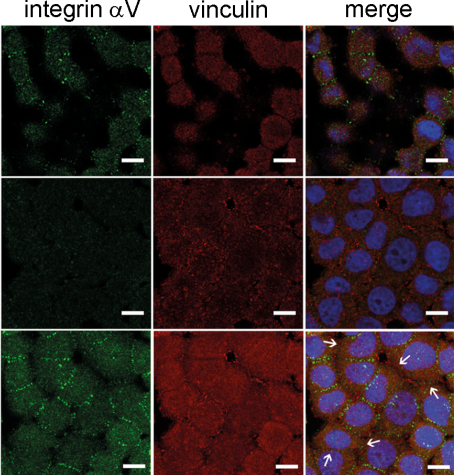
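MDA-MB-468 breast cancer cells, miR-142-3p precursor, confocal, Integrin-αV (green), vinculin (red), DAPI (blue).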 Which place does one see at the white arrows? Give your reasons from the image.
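The white arrows point to borders between adjacent cells. Sparse green dots lie along these borders. On this evidence: cell-cell contacts.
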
